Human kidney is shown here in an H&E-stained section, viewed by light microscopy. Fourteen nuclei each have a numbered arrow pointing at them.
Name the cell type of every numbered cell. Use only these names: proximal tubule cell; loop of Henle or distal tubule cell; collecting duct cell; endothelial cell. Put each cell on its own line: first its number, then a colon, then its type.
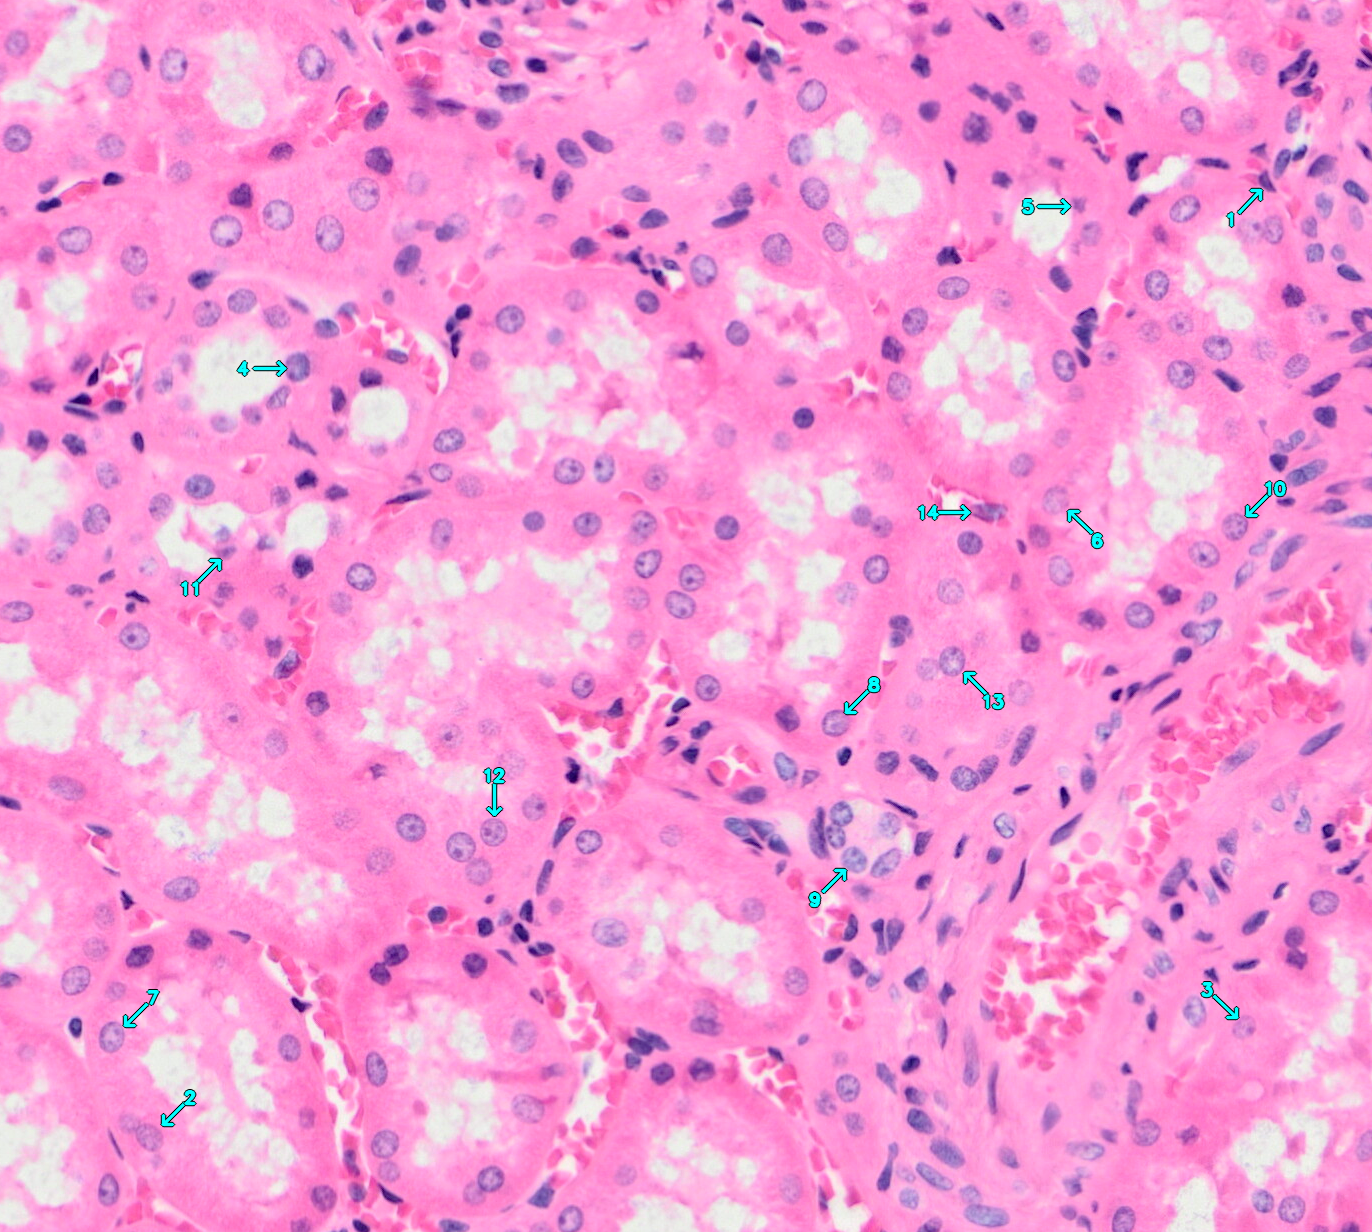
1: endothelial cell
2: proximal tubule cell
3: proximal tubule cell
4: loop of Henle or distal tubule cell
5: loop of Henle or distal tubule cell
6: proximal tubule cell
7: proximal tubule cell
8: proximal tubule cell
9: collecting duct cell
10: proximal tubule cell
11: loop of Henle or distal tubule cell
12: proximal tubule cell
13: proximal tubule cell
14: endothelial cell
